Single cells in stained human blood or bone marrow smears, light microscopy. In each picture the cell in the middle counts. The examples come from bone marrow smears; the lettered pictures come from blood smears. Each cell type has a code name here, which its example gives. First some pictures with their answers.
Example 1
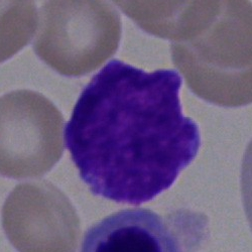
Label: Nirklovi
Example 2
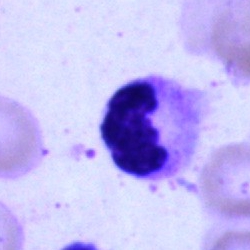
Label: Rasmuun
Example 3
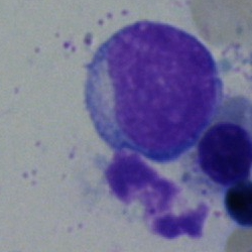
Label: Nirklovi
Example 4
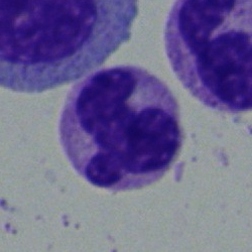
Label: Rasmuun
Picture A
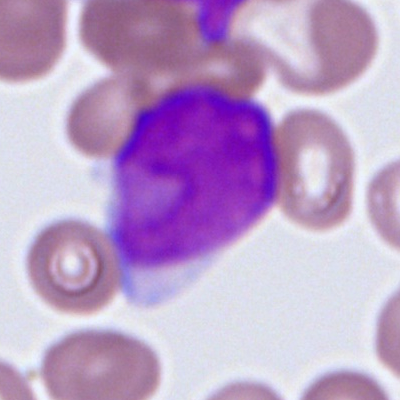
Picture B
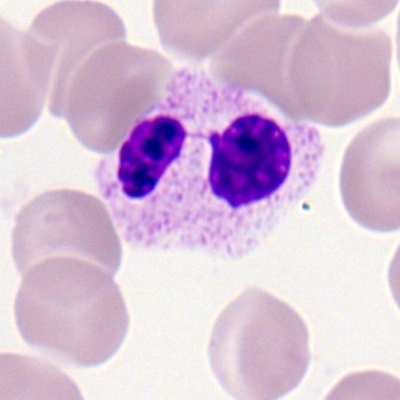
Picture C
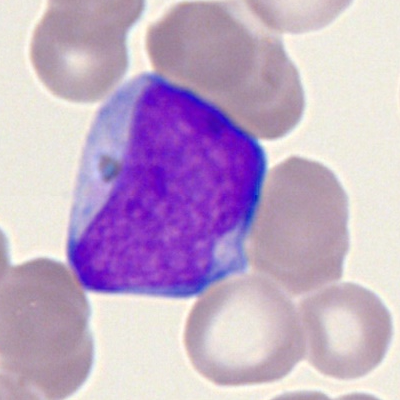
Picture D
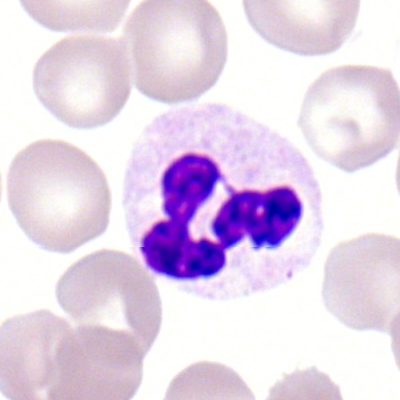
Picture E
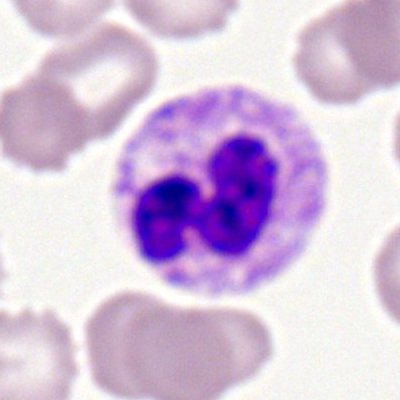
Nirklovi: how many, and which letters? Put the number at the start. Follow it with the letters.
2, namely A, C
